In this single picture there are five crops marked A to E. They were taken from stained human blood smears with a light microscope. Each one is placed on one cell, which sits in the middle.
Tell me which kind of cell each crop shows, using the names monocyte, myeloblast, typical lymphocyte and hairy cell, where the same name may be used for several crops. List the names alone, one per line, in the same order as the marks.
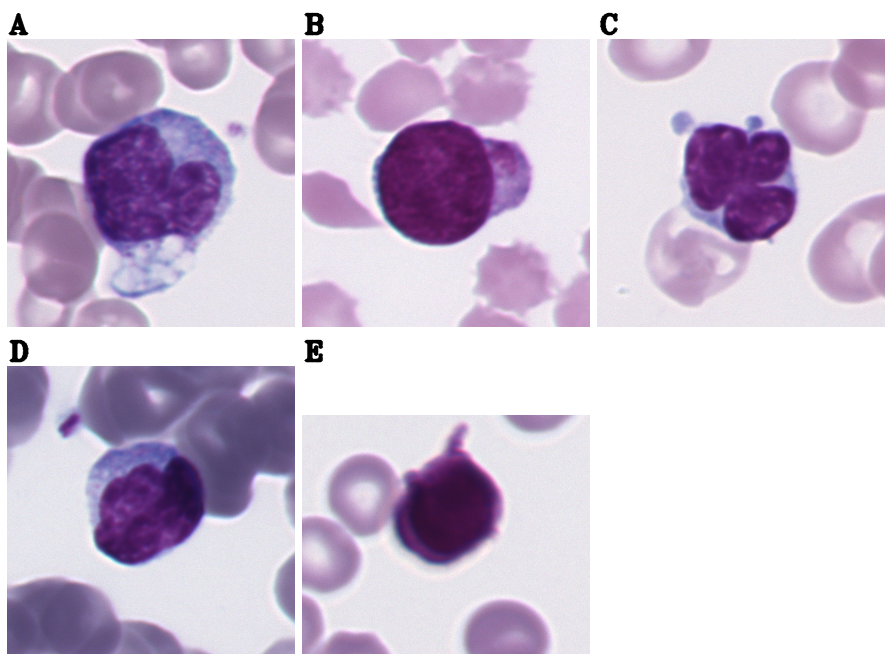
monocyte
myeloblast
typical lymphocyte
typical lymphocyte
myeloblast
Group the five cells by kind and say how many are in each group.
myeloblast: 2
typical lymphocyte: 2
monocyte: 1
